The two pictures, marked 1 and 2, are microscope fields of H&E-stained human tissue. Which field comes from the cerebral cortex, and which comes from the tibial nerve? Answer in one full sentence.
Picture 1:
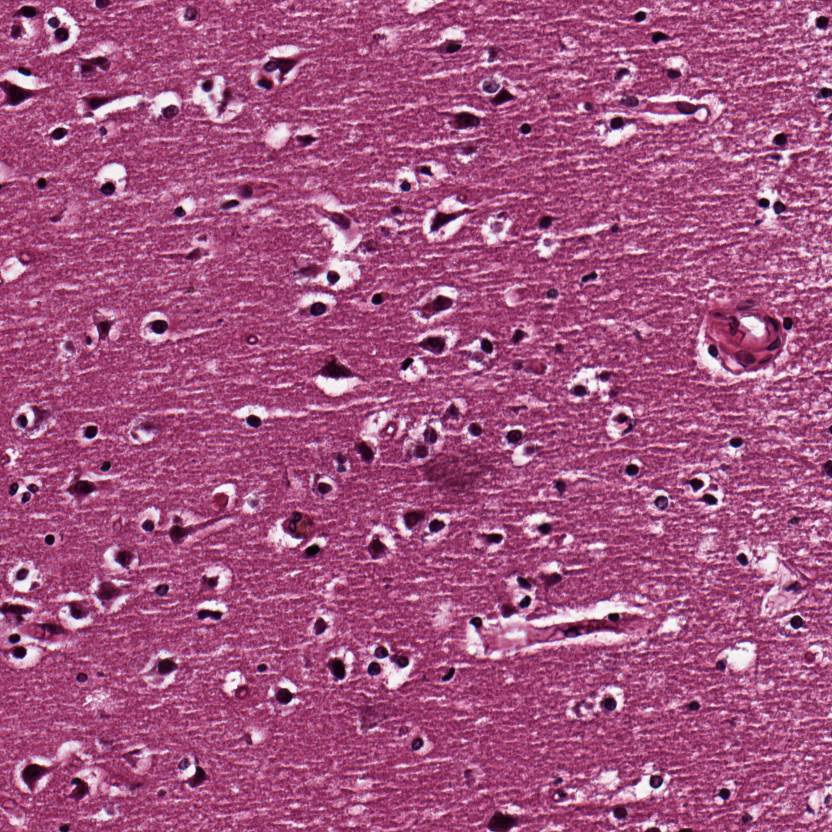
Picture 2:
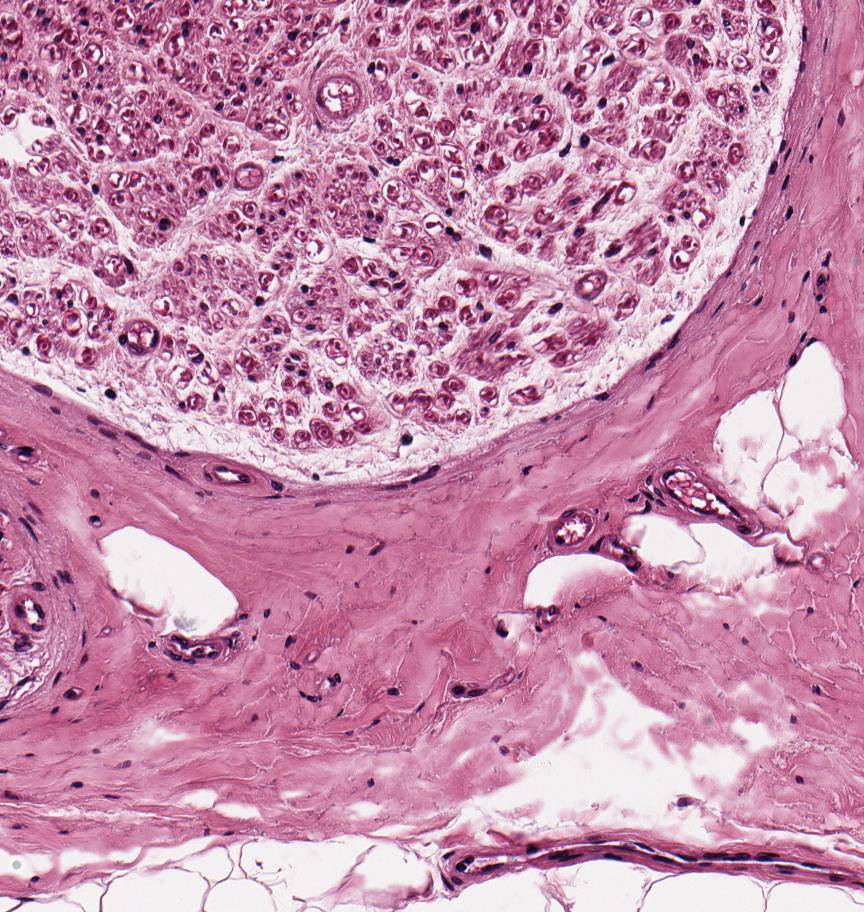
Picture 1 comes from the cerebral cortex and picture 2 comes from the tibial nerve.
